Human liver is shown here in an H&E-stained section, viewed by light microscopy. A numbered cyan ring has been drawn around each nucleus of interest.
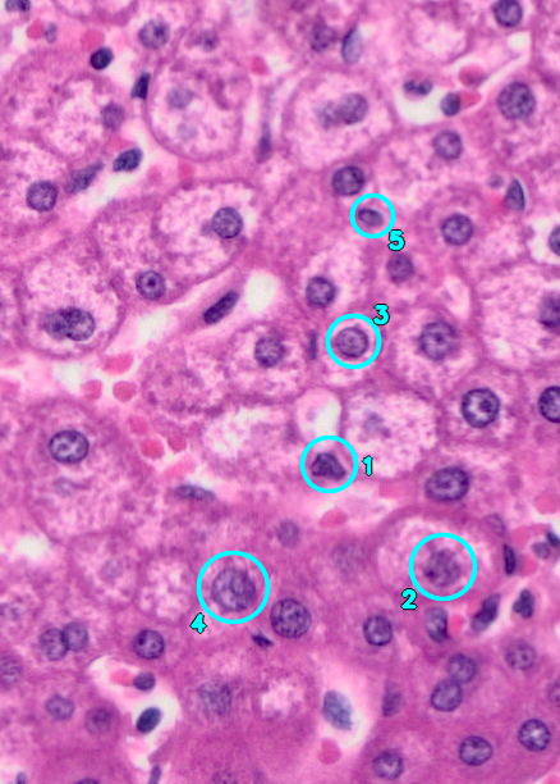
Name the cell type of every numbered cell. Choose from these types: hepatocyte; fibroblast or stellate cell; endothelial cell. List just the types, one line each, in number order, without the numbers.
fibroblast or stellate cell
hepatocyte
hepatocyte
hepatocyte
endothelial cell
